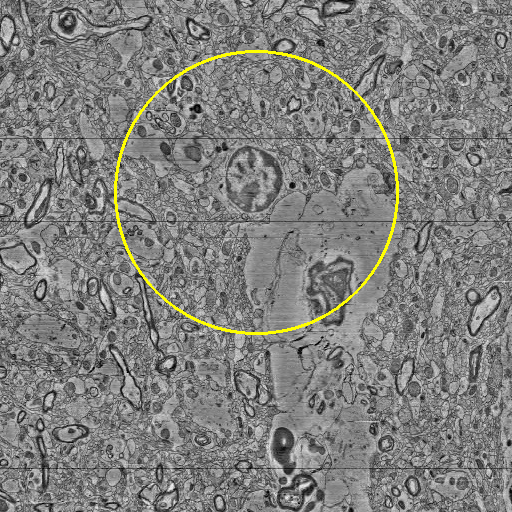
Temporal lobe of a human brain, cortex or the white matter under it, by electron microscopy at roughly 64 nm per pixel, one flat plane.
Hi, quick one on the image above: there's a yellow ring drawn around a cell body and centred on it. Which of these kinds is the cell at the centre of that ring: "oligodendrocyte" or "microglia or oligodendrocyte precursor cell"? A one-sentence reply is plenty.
The cell at the centre of the ring is a microglial cell or oligodendrocyte precursor cell.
